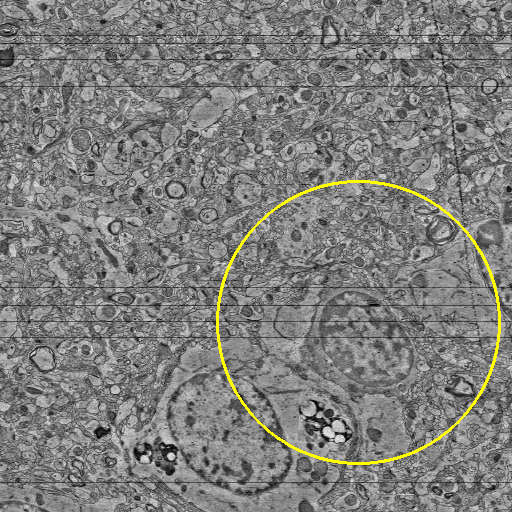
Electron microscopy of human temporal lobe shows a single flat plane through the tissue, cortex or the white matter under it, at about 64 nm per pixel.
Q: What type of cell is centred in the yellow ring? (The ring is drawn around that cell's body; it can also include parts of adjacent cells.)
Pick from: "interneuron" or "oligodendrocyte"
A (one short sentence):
The yellow ring is centred on an oligodendrocyte.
